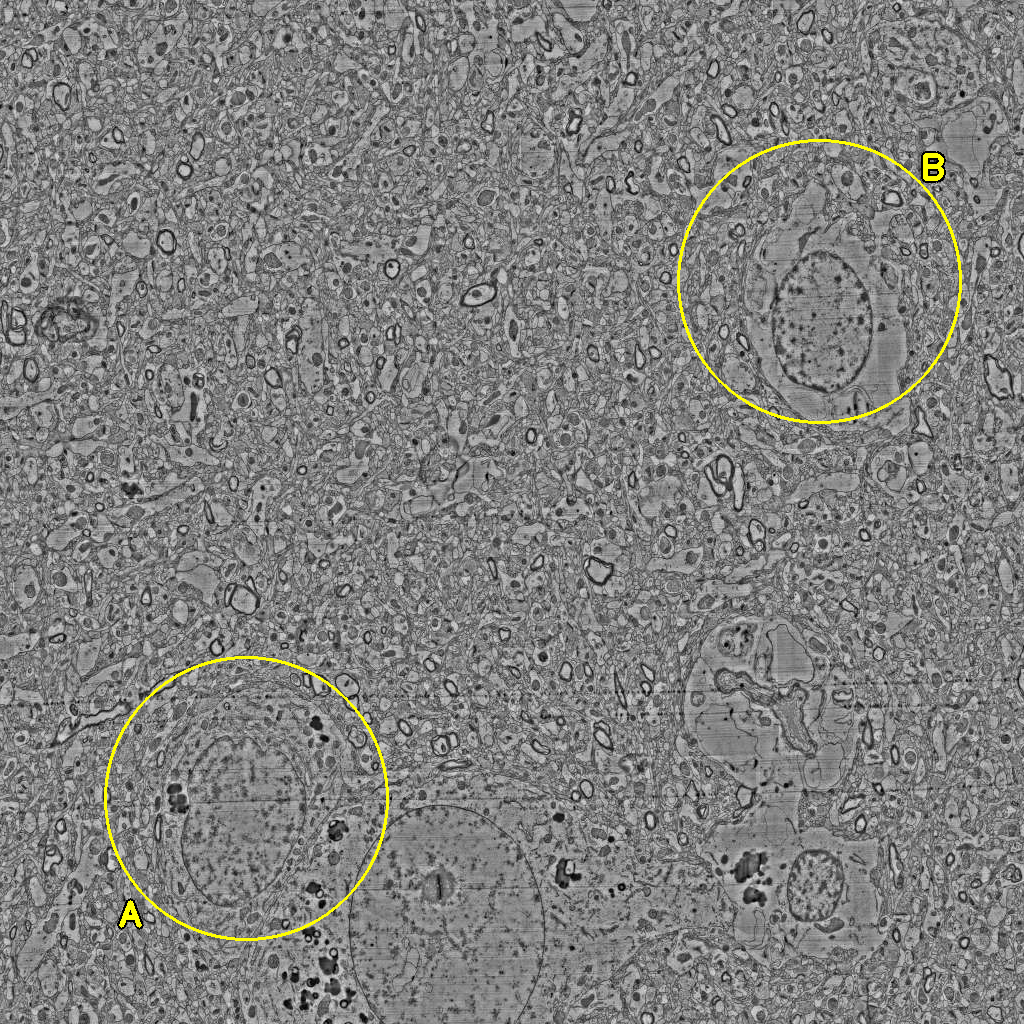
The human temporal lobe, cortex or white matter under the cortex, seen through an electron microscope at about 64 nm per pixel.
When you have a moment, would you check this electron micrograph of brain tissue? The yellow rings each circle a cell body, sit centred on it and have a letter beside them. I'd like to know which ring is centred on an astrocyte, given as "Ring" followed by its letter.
Ring B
